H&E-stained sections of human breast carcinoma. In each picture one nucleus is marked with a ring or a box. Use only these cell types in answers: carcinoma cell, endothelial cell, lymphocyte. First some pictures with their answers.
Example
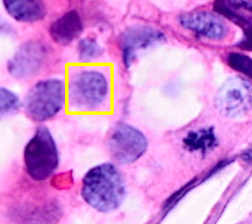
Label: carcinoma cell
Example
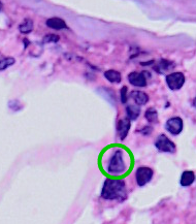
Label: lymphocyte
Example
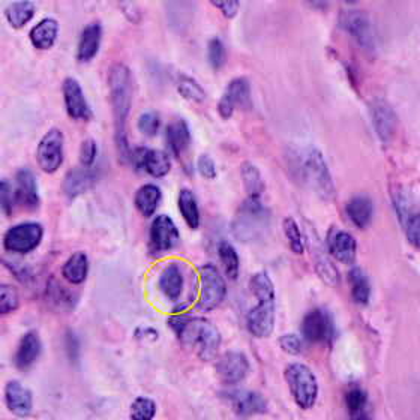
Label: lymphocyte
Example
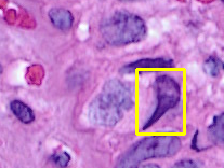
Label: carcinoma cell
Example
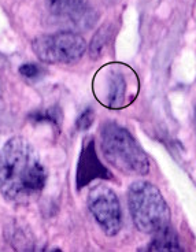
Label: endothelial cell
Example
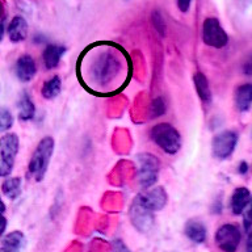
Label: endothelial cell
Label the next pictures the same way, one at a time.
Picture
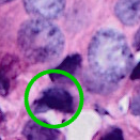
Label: carcinoma cell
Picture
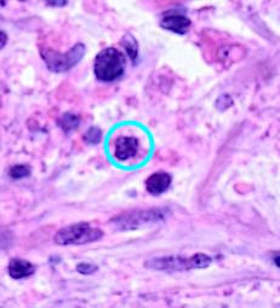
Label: lymphocyte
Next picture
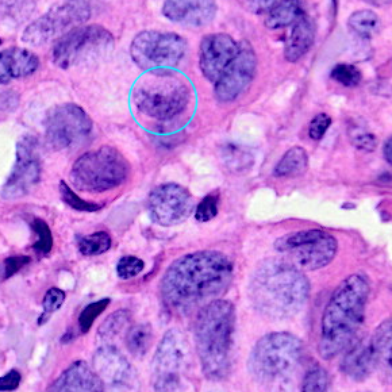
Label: carcinoma cell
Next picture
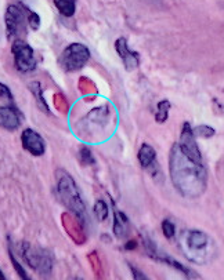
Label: endothelial cell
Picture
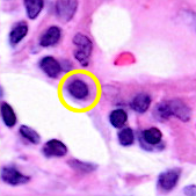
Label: lymphocyte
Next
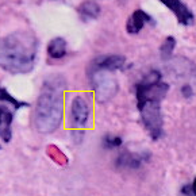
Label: endothelial cell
